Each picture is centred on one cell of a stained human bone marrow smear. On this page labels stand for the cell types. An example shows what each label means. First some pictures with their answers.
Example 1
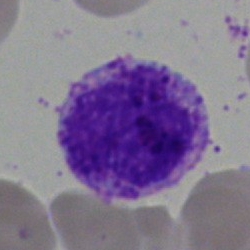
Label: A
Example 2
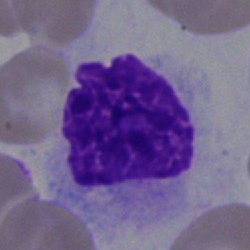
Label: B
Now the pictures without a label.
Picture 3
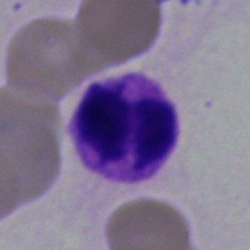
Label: A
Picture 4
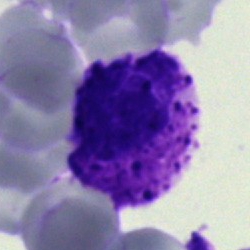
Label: A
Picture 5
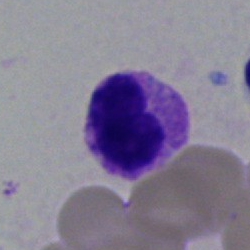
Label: A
